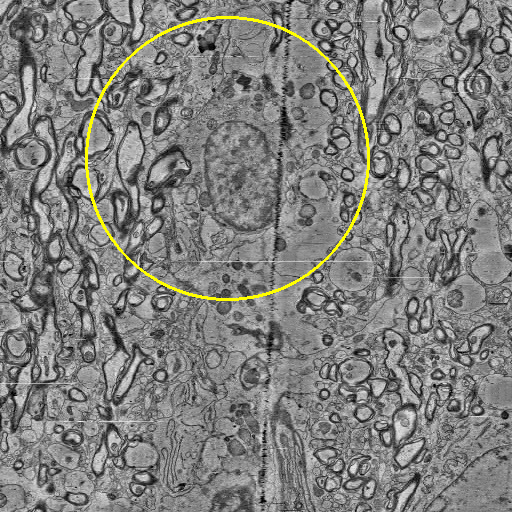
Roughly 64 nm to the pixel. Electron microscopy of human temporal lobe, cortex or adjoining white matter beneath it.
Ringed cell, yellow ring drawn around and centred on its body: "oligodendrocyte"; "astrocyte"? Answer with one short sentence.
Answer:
This ringed cell is an oligodendrocyte.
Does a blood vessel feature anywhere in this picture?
Yes, a vessel shows somewhere in the image.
